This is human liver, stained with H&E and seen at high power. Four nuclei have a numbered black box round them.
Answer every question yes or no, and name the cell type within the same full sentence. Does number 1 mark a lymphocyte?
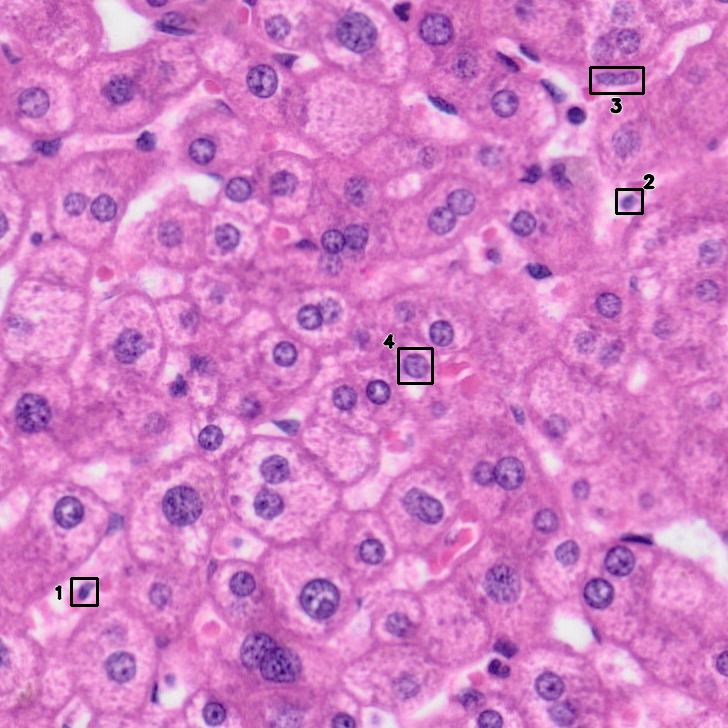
Yes, the cell that the number 1 labels is a lymphocyte.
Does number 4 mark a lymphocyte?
No, the cell with number 4 is not a lymphocyte but a hepatocyte.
